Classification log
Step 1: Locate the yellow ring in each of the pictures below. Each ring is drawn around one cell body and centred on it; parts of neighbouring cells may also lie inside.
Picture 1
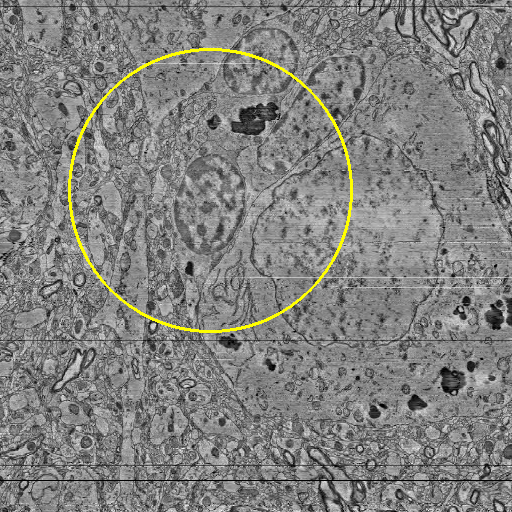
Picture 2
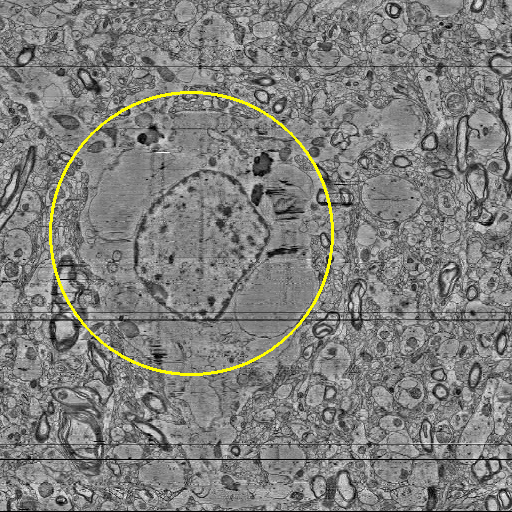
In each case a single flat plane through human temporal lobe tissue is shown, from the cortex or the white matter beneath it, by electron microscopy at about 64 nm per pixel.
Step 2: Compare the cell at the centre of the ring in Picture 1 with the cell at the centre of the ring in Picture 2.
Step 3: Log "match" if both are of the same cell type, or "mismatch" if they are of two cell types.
mismatch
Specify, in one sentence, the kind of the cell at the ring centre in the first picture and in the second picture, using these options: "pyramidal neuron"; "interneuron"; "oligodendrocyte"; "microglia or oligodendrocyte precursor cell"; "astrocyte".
So the first is an oligodendrocyte, the second an astrocyte.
